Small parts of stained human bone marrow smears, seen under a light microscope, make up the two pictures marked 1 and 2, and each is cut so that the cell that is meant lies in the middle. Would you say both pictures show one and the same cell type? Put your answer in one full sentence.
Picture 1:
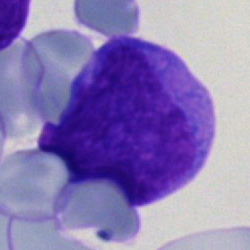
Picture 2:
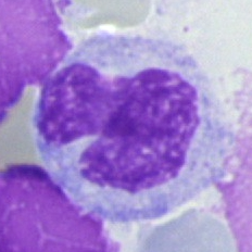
No. Picture 1 shows a blast, but picture 2 shows a monocyte.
